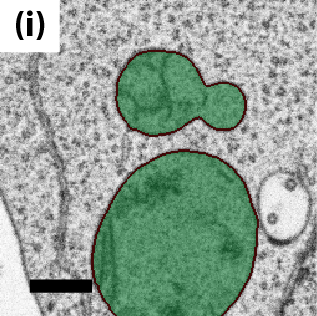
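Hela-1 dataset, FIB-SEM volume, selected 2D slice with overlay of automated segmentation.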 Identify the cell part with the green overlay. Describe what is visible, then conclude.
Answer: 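Two green-filled profiles bounded by a dark membrane. Their interior has a mottled texture unlike the surrounding cytoplasm.
Hence: mitochondria.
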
